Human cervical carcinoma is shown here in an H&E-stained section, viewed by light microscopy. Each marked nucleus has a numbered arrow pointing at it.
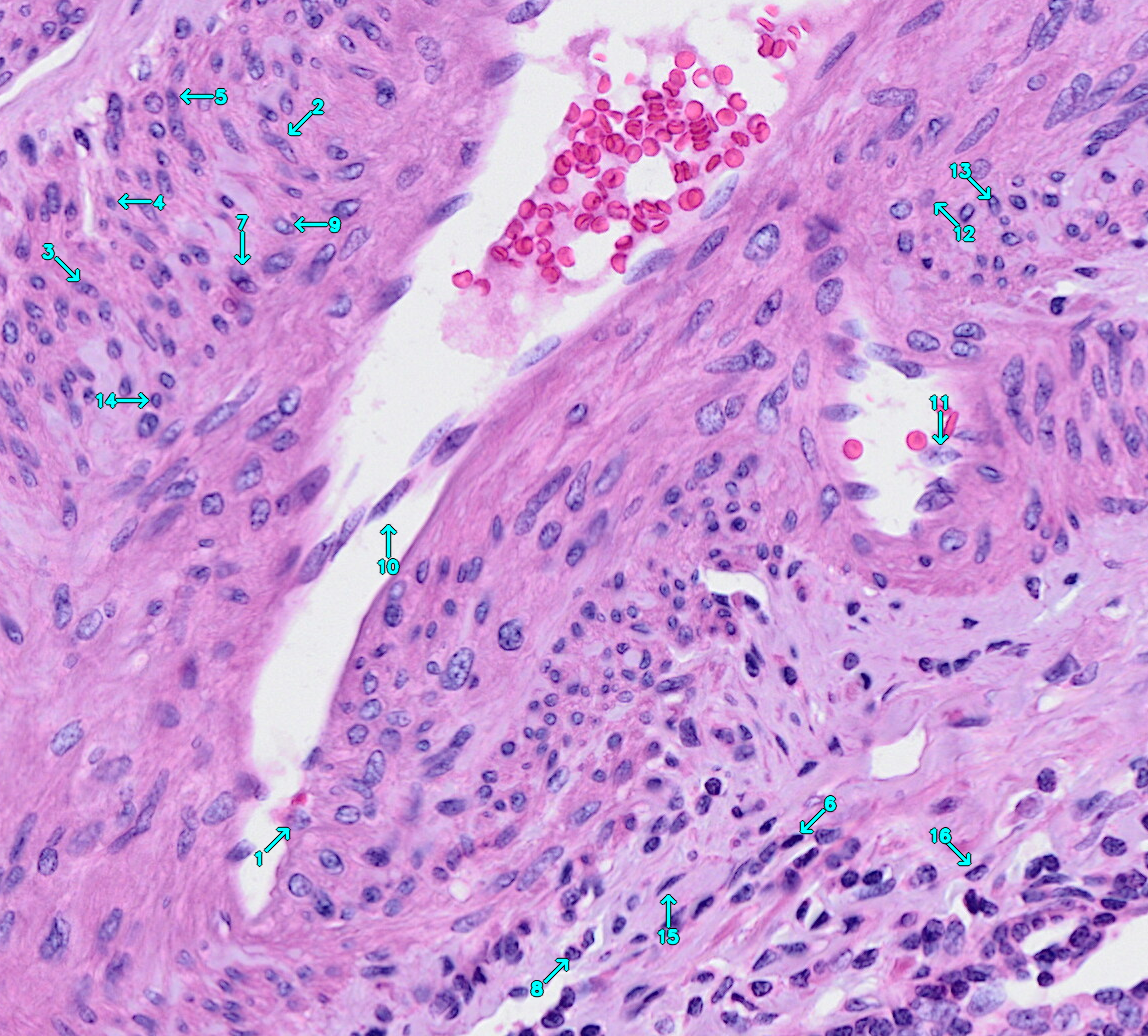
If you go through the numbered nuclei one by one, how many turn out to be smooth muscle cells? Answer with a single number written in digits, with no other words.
9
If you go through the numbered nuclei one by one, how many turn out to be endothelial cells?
3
